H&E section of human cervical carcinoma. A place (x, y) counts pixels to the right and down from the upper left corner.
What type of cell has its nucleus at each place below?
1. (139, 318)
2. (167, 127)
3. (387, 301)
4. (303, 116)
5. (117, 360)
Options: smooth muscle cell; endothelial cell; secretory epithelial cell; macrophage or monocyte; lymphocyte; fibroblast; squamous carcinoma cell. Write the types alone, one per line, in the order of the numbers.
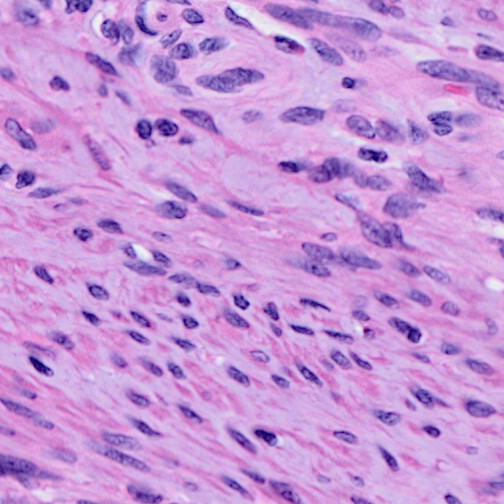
smooth muscle cell
lymphocyte
smooth muscle cell
fibroblast
smooth muscle cell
